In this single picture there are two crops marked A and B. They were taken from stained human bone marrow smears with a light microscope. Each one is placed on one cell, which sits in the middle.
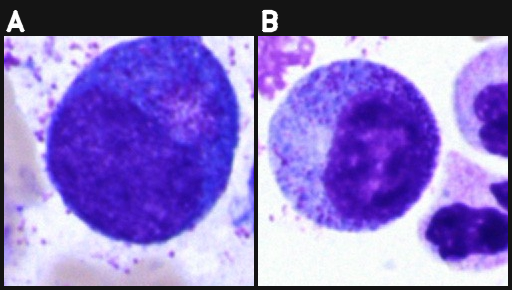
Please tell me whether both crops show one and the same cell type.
yes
